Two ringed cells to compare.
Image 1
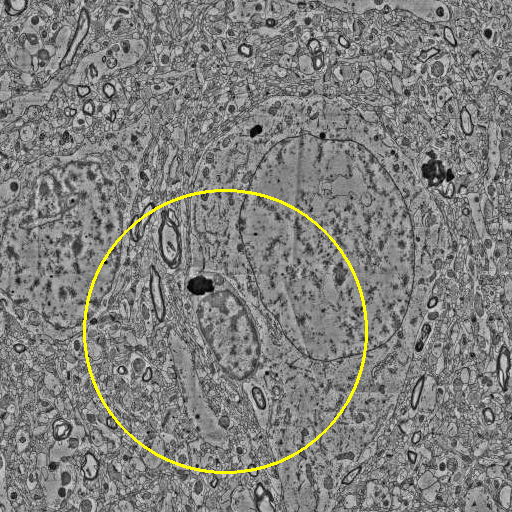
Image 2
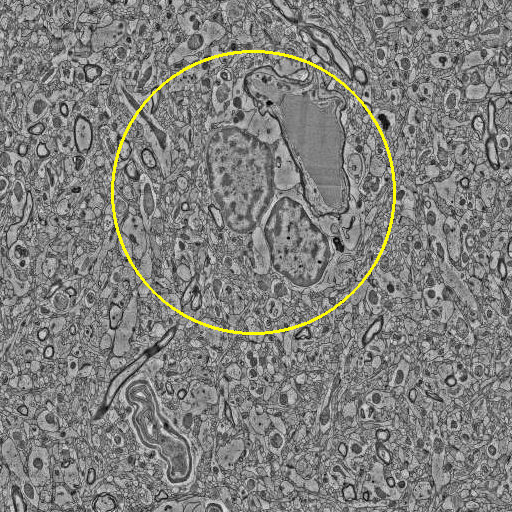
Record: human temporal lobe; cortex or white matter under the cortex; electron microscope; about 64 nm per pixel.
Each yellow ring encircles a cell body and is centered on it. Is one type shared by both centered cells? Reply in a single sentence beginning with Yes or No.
Yes, a single type is shared by the two cells at the centers of the rings.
